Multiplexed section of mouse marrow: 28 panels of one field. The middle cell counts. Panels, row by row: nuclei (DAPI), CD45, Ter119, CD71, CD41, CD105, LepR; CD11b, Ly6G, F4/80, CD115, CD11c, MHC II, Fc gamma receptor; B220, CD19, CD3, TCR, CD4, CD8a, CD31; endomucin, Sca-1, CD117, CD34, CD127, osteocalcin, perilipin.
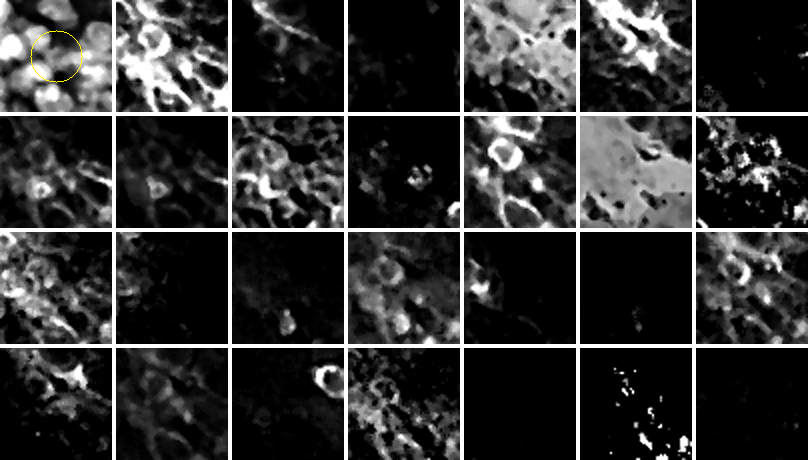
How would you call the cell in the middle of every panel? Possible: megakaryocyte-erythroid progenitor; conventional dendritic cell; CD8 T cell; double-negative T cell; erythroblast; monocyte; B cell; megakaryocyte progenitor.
I would call it a conventional dendritic cell.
